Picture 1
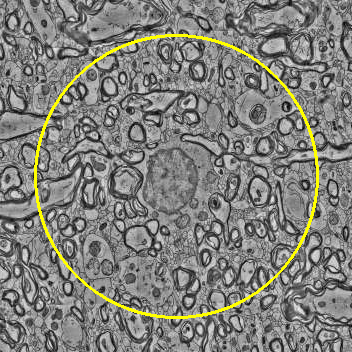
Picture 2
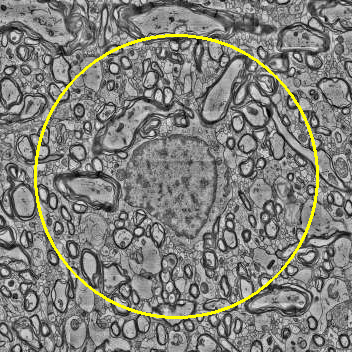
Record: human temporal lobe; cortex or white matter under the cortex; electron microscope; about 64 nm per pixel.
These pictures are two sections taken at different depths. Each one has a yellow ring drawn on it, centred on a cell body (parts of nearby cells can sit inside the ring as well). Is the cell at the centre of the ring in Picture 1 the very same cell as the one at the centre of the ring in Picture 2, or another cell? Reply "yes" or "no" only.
yes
